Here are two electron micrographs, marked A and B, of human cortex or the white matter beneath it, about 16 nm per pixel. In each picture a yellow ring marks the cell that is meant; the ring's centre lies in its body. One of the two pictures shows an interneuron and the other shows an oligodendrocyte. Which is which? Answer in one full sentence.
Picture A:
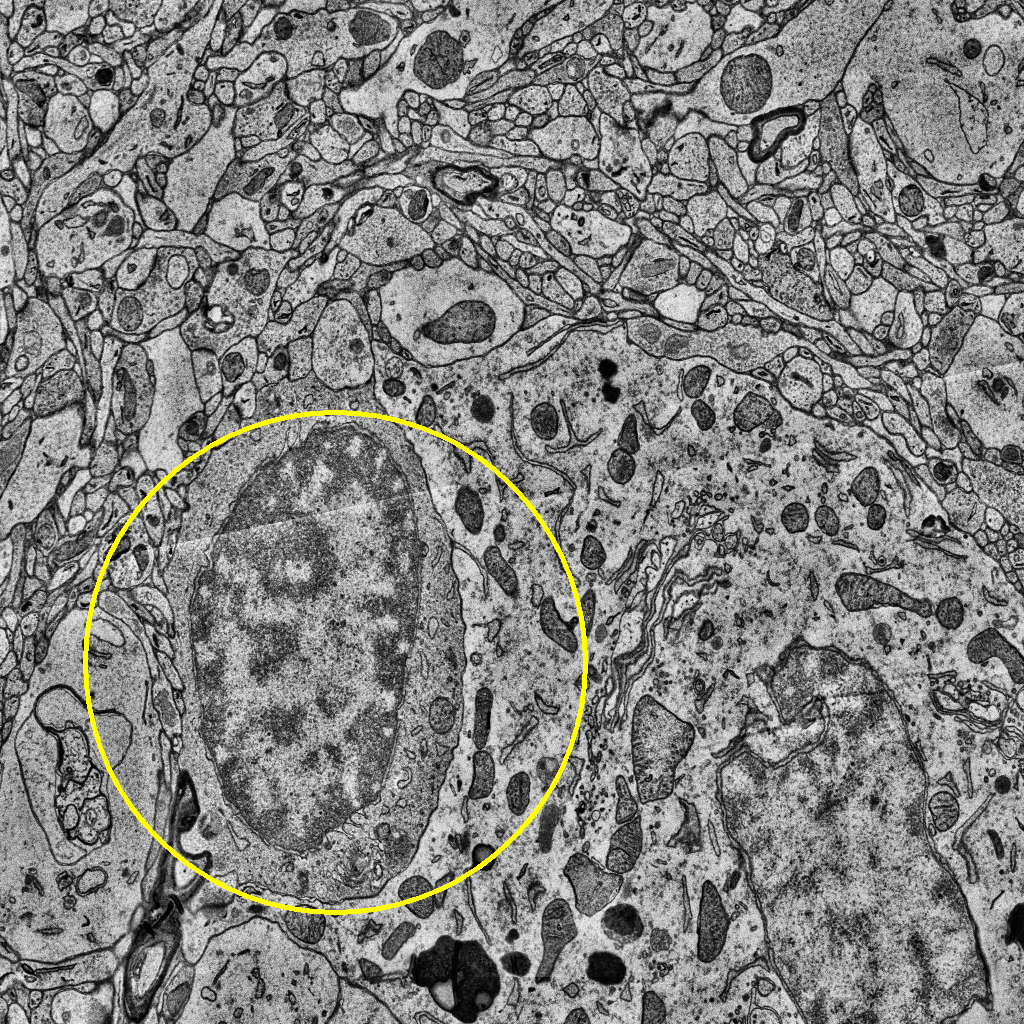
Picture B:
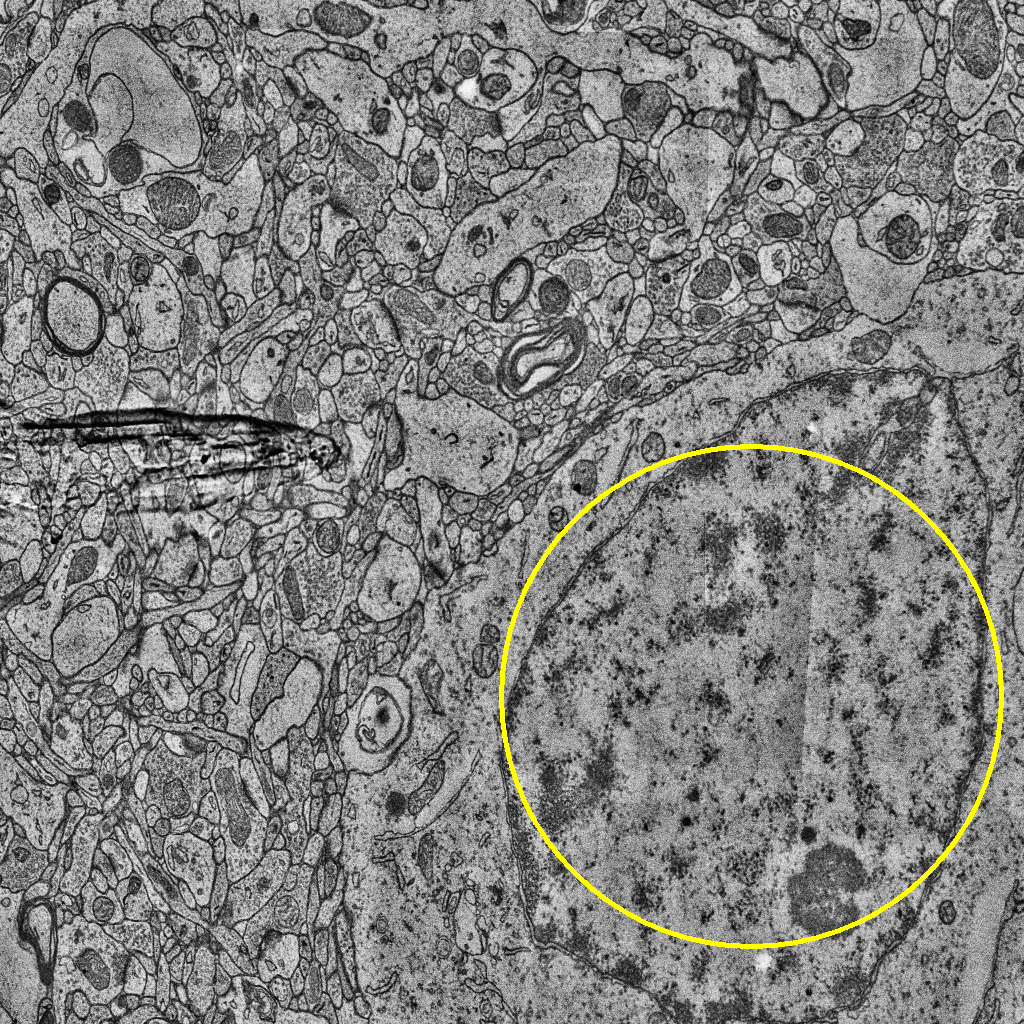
It is picture A that shows an oligodendrocyte, and picture B that shows an interneuron.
